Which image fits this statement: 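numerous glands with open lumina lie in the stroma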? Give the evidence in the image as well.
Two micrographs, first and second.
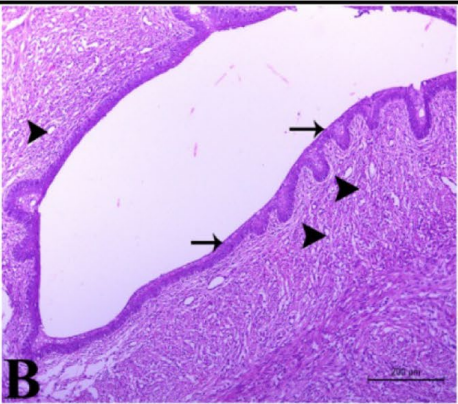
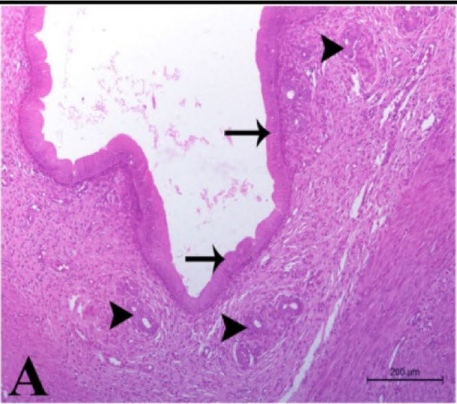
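First image: the stroma shows hardly any distinct gland profiles with open lumina. Second image: several round glands with clear lumina are seen in the stroma.
Answer: the second image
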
